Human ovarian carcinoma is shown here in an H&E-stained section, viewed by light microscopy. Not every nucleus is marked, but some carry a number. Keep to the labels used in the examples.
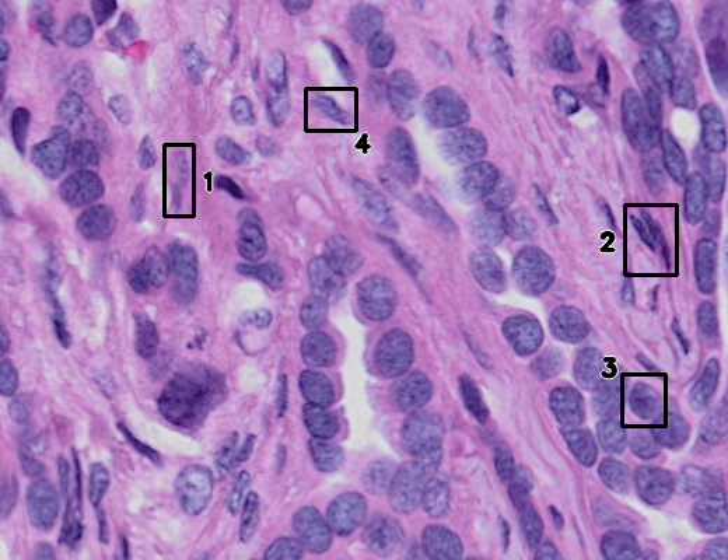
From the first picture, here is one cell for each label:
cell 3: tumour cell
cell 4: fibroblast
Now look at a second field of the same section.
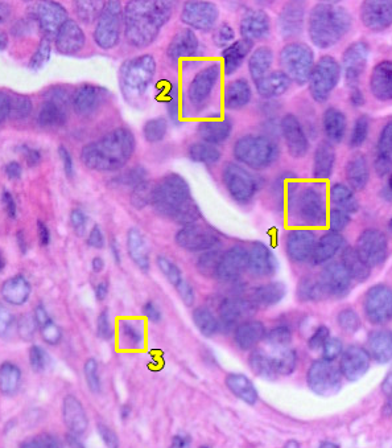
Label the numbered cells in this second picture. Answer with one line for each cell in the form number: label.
1: tumour cell
2: tumour cell
3: fibroblast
